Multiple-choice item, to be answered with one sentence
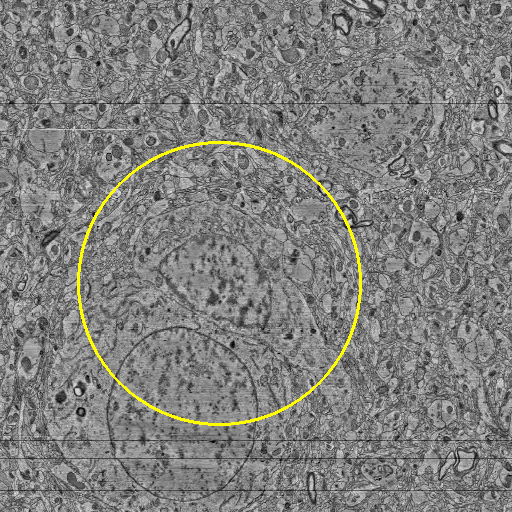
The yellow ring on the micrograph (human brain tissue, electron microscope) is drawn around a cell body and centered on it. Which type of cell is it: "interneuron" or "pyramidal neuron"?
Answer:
The ring is centered on an interneuron.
